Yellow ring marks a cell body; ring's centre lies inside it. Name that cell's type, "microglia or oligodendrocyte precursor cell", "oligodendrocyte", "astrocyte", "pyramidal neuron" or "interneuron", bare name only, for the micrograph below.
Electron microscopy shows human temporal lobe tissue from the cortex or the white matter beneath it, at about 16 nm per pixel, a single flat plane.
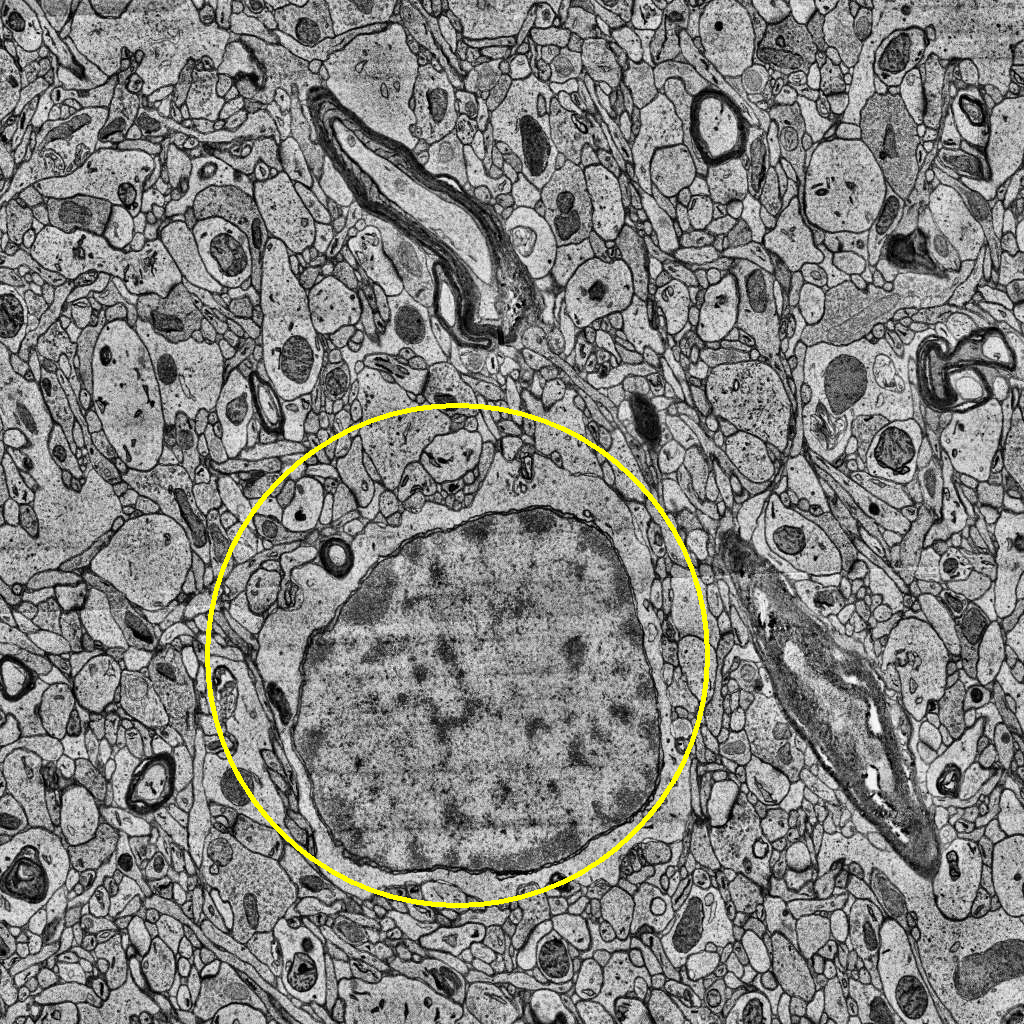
microglia or oligodendrocyte precursor cell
